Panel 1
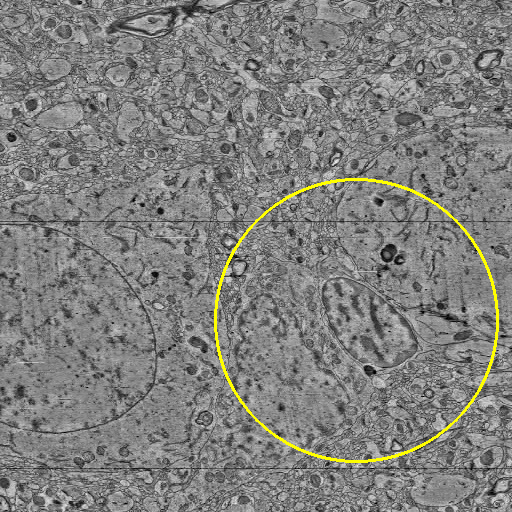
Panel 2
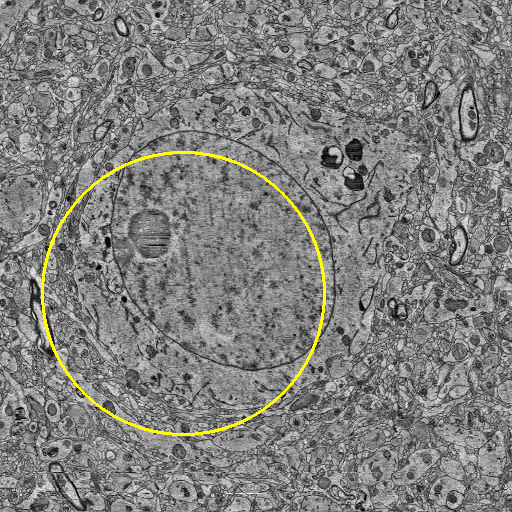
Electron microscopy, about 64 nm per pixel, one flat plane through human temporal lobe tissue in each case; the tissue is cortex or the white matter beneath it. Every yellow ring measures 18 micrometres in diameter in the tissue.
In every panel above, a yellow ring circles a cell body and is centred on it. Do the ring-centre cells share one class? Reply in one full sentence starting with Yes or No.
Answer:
No, the two cells at the ring centres in the panels belong to two classes.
